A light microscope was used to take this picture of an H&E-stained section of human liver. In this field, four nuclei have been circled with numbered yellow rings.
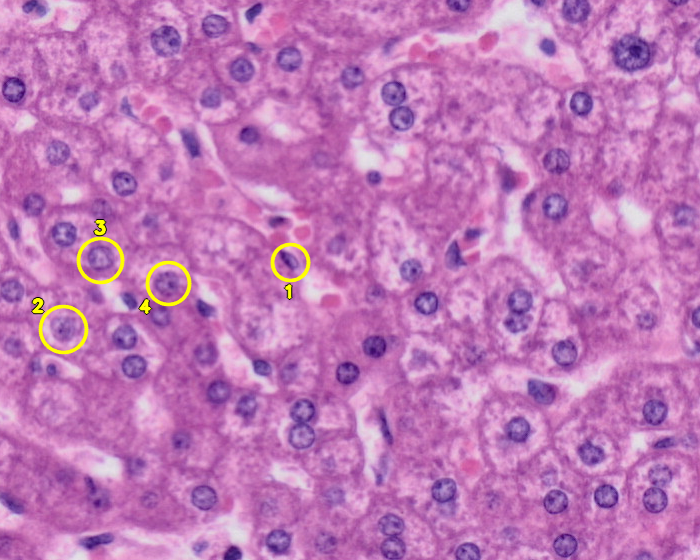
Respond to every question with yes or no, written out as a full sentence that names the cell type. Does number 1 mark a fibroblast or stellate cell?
Yes, the cell identified by number 1 is a fibroblast or stellate cell.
